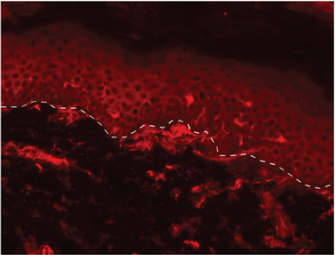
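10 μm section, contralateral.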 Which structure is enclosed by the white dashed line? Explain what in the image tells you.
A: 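Above the dashed line lies a dense layer of closely packed cells with a regular honeycomb pattern. Below the line the tissue is looser with scattered bright fibrous profiles. The line follows an undulating border between the two layers.
Hence: the division between the epidermis and dermis.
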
